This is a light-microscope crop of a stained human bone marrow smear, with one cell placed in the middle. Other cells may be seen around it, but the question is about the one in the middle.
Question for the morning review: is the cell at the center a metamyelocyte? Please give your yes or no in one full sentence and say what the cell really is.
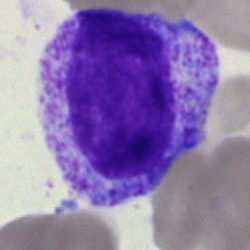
No, it is not a metamyelocyte that sits at the centre but a myelocyte.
